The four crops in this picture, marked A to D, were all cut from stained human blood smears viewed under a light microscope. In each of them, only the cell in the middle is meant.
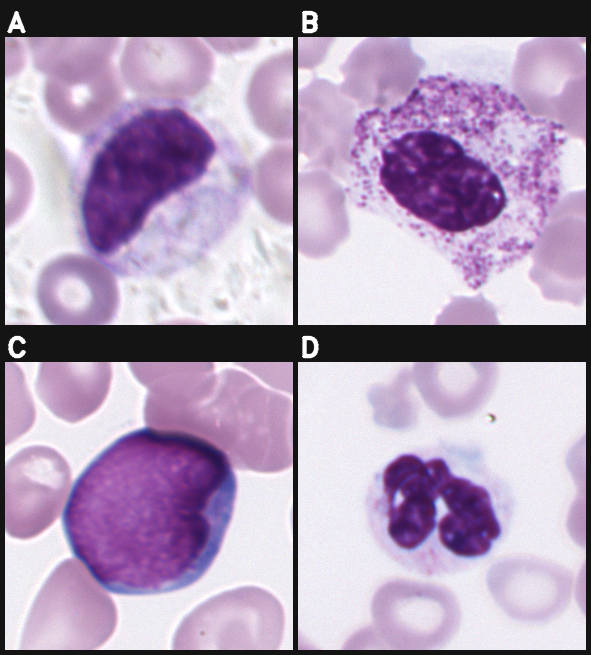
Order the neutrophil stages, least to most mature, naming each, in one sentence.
In terms of maturity, from least to most, the order is crop C (a myeloblast), crop A (a metamyelocyte), crop B (a band neutrophil) and crop D (a segmented neutrophil).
